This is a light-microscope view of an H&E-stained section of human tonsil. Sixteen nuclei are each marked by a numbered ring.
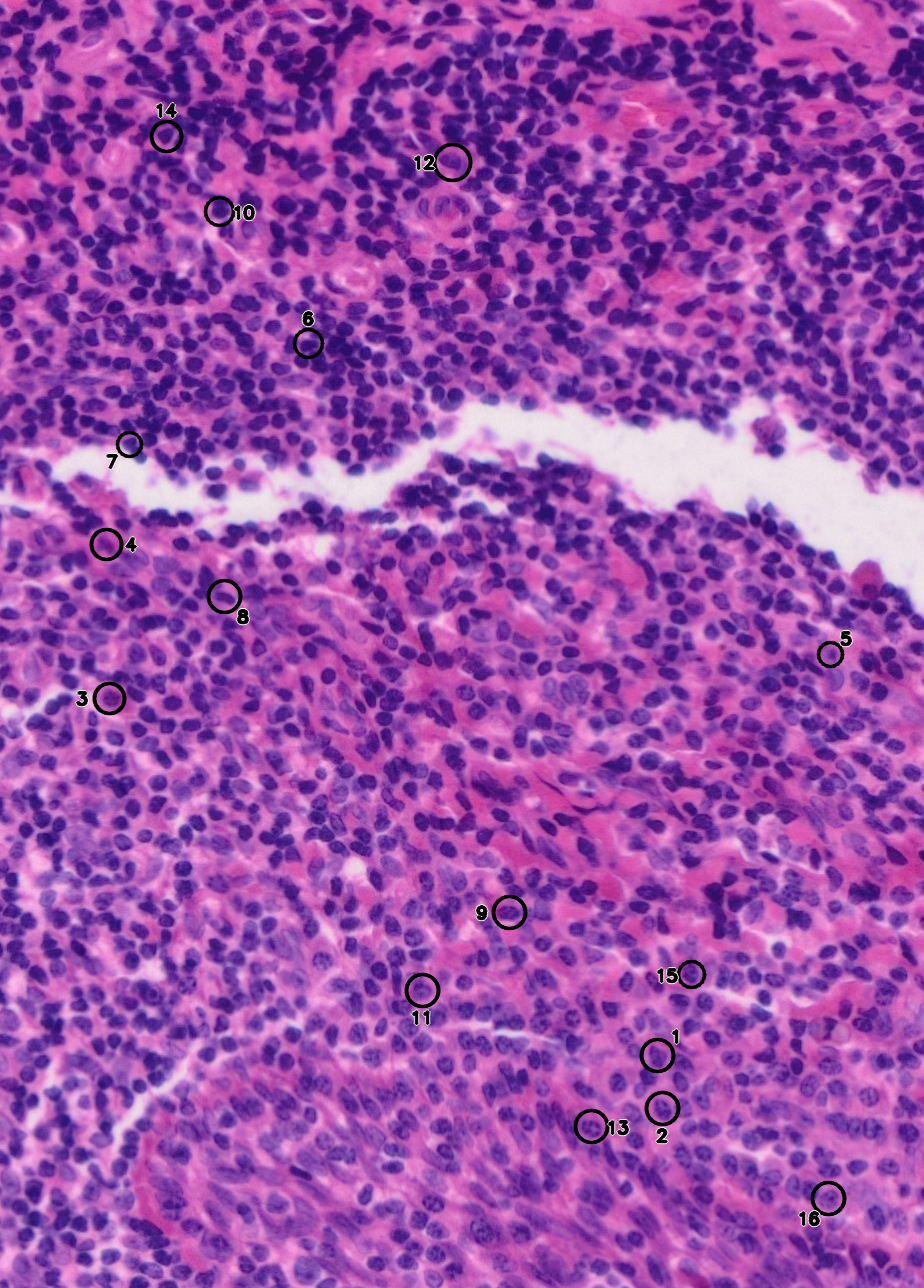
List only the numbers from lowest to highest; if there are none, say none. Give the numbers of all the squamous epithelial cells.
none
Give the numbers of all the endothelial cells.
4, 5, 8, 12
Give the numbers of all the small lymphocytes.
6, 7, 10, 14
